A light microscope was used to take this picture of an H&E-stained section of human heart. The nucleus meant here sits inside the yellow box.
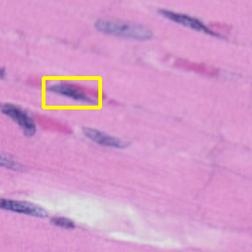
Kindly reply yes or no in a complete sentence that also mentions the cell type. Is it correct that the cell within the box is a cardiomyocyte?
No, the cell within the box is regarded as an endothelial cell rather than a cardiomyocyte.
